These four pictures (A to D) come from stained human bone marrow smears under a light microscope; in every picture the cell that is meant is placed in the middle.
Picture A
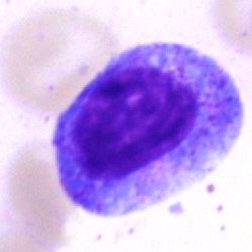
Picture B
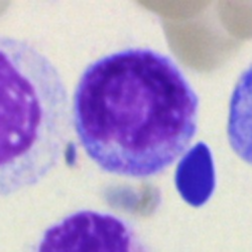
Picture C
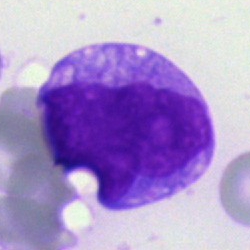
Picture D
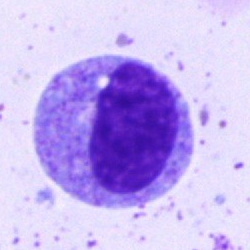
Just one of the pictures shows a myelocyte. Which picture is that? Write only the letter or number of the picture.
D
